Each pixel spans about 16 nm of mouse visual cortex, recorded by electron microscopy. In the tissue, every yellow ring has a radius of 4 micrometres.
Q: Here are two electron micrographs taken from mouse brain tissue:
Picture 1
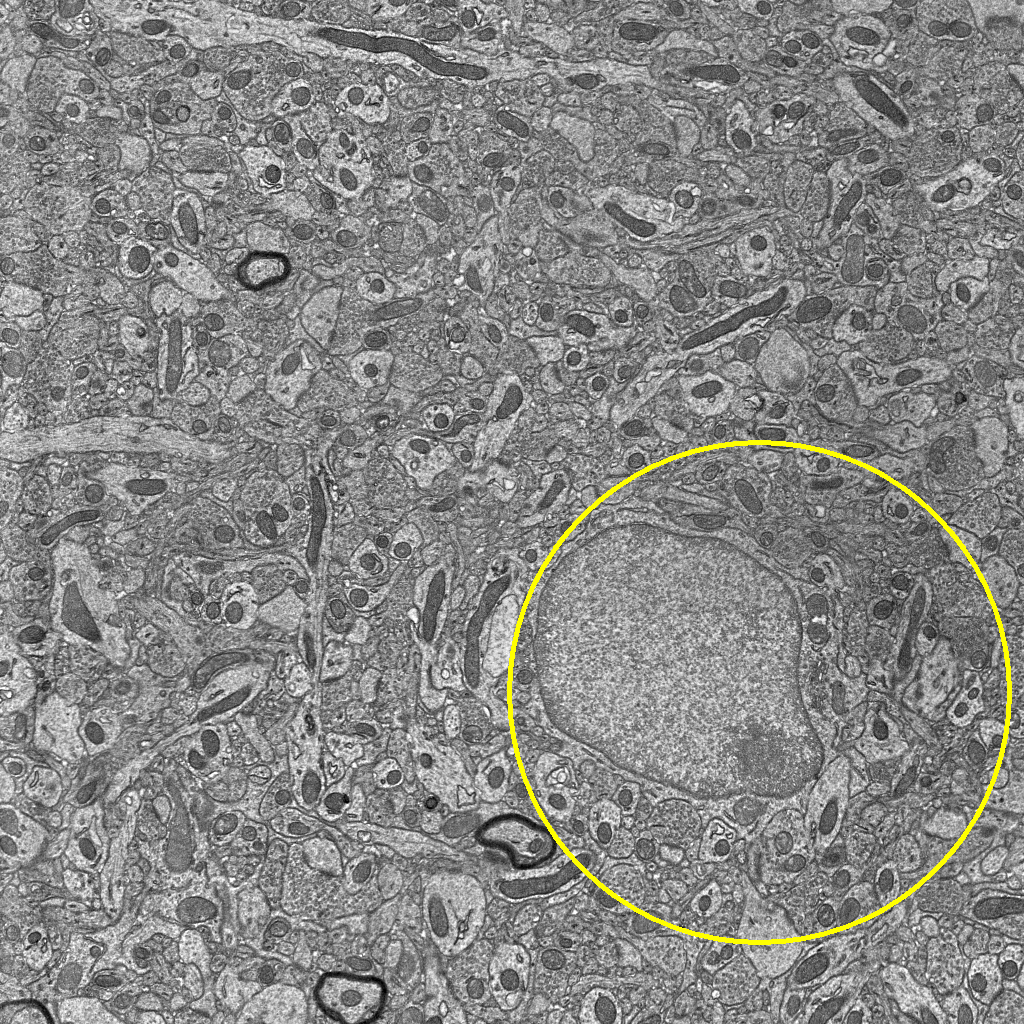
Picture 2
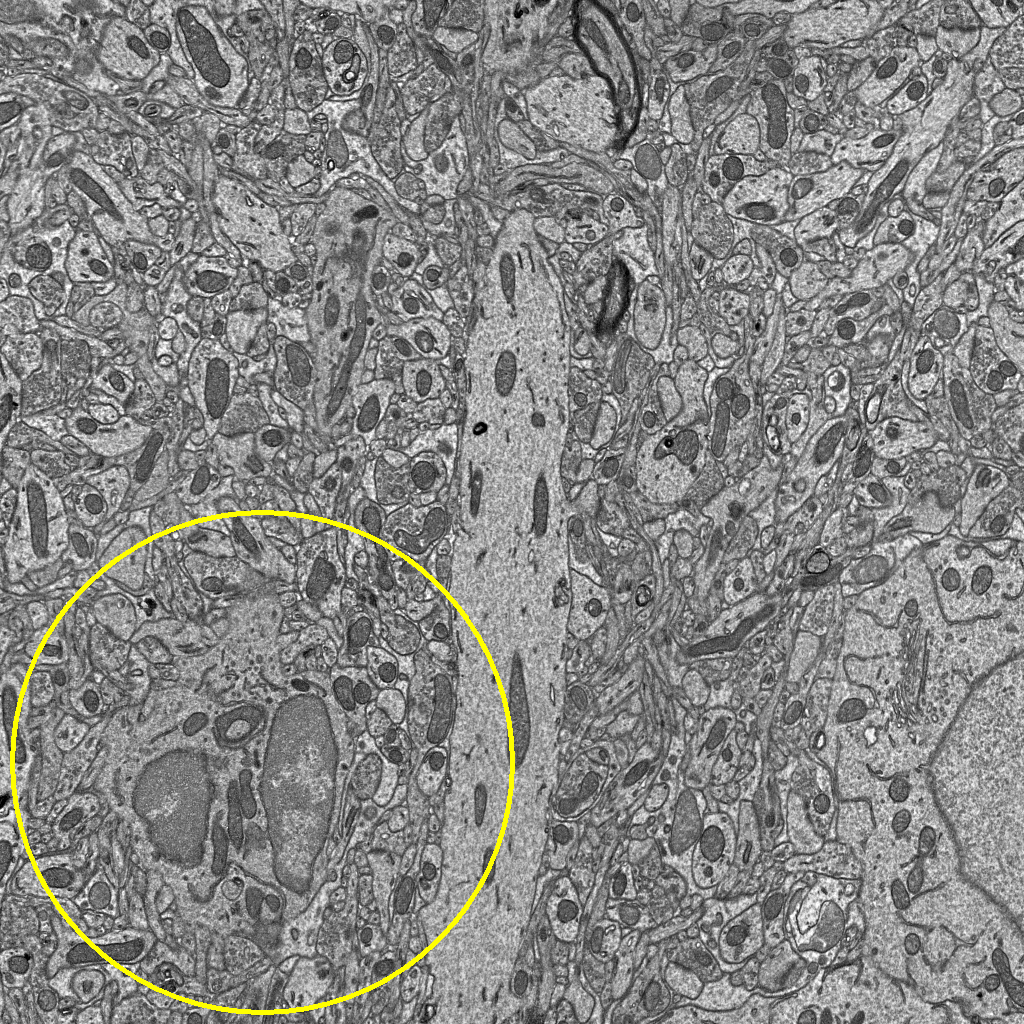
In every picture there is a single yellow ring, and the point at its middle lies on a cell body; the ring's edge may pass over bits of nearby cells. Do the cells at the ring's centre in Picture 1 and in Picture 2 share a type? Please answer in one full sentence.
No, the cells at the ring's centre in Picture 1 and Picture 2 are of two types.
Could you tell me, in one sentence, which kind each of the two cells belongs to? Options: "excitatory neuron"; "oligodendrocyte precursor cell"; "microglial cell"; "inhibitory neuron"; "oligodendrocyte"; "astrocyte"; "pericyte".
The cell at the centre of the ring is an astrocyte in the first picture and a microglial cell in the second.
